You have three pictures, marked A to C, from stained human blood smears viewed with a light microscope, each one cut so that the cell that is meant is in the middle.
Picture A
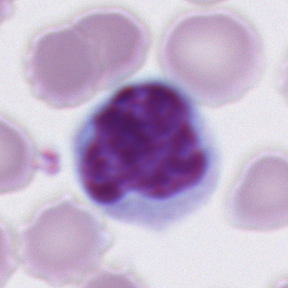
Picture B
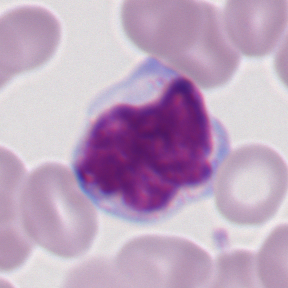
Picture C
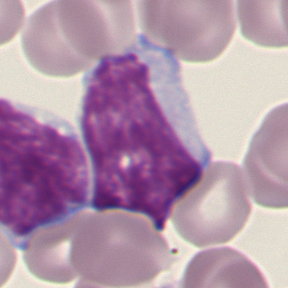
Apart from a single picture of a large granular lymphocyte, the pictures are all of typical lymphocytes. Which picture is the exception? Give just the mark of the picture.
B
